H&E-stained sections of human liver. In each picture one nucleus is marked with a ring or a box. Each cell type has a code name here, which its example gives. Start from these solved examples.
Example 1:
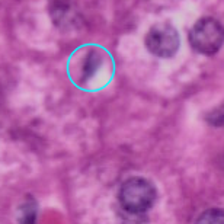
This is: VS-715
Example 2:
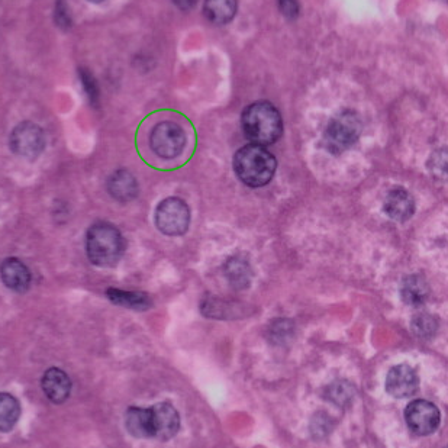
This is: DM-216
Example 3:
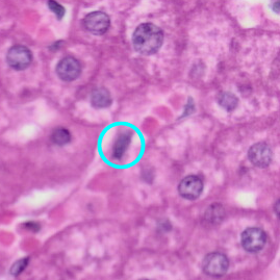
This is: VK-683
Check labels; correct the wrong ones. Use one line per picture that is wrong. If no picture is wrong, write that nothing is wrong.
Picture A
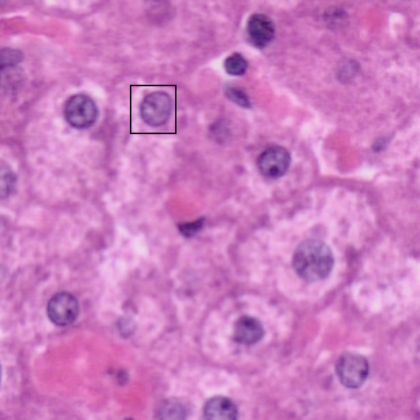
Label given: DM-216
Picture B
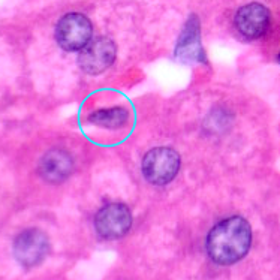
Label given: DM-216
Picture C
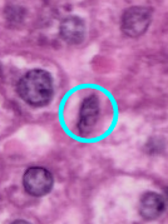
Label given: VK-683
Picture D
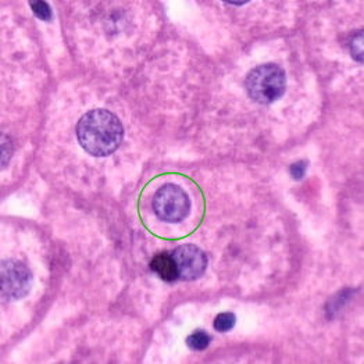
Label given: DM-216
Wrong: B (DM-216); correct: VK-683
